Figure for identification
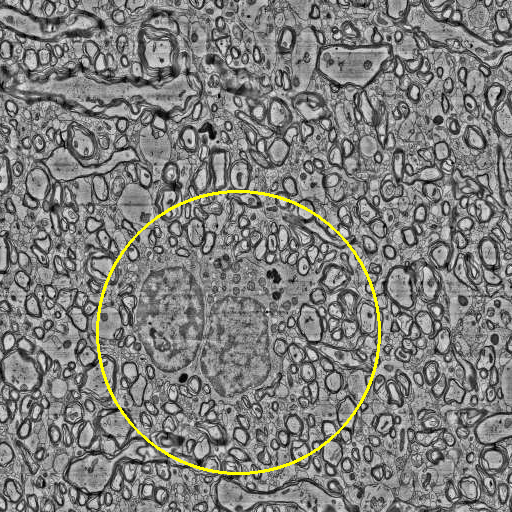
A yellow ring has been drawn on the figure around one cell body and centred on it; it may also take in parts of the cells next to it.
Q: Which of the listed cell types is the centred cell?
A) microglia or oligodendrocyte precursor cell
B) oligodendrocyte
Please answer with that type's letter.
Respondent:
B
